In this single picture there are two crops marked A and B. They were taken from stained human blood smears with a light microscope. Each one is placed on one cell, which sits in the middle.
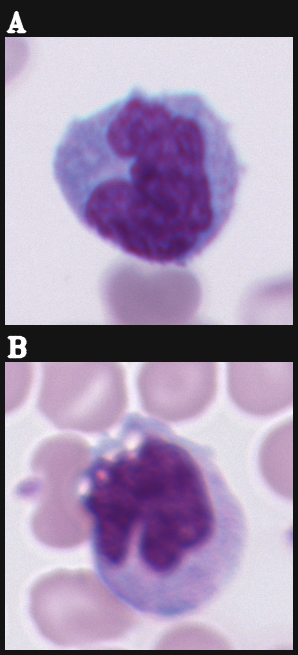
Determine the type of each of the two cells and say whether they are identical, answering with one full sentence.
Yes, the crops both have monocytes in the middle.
